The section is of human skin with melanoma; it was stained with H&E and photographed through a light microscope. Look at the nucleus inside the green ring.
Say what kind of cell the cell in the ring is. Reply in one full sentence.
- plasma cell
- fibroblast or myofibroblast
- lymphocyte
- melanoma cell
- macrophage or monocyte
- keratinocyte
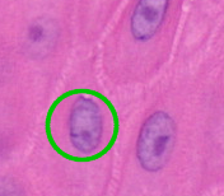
In the tissue at hand, the cell in the ring is a keratinocyte.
